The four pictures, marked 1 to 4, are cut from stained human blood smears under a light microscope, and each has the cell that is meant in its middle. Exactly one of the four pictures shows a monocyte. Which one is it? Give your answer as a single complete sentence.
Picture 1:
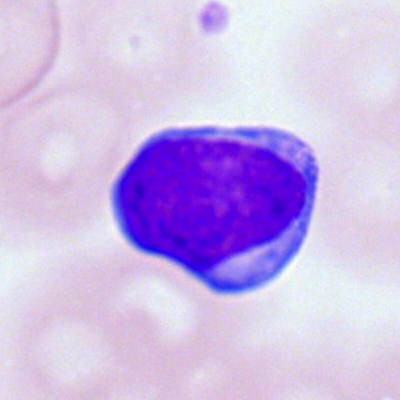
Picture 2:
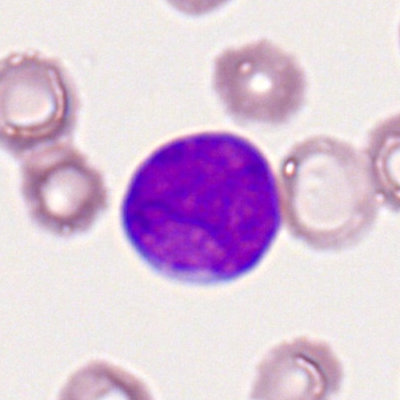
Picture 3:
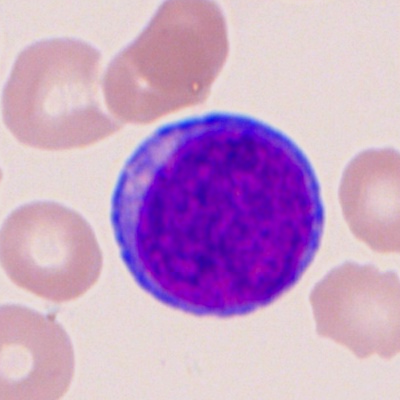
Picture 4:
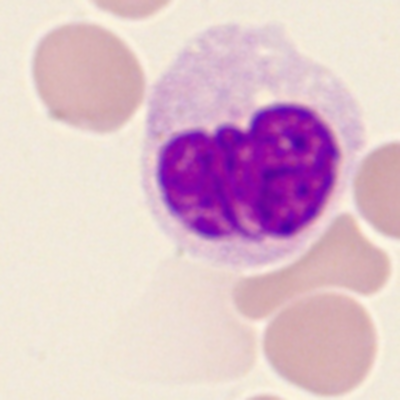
The picture with the monocyte is 4.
